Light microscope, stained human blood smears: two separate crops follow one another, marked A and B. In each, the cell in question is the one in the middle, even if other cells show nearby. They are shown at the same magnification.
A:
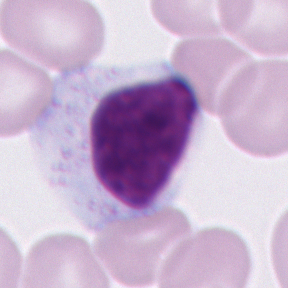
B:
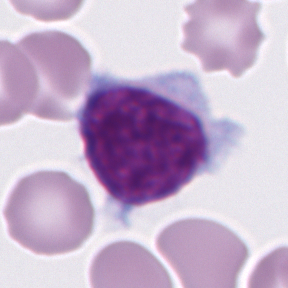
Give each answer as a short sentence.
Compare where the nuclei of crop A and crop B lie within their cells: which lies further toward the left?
The nucleus in crop B lies further toward the left of its cell.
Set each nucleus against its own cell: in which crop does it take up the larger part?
The nucleus fills more of the cell in crop B than in crop A.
